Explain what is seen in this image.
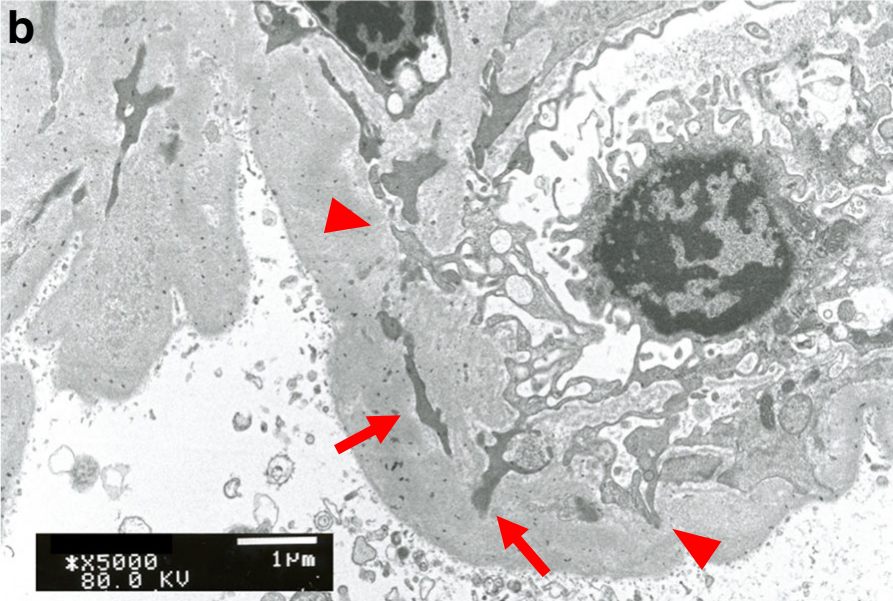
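This electron micrograph shows a glomerular capillary loop whose wall is markedly thickened into a broad, homogeneous grey band. Slender dark cytoplasmic processes run inside this band and divide it into layers, giving a duplicated look to the basement membrane. Along parts of the inner side, cell material reaches into the thickened membrane. To the right lies a cell with a large, dense nucleus with clumped chromatin and cytoplasm with many fine processes and small vesicles. The outer surface of the wall faces a pale urinary space containing scattered debris.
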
